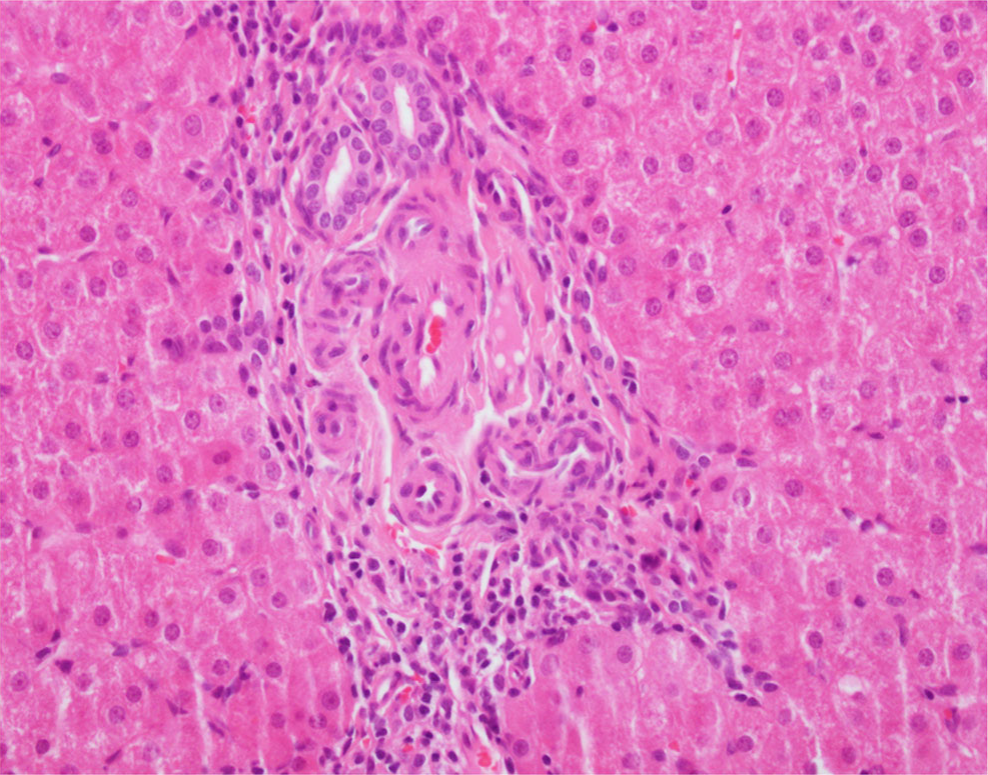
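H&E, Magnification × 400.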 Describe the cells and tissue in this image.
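The image shows a portal tract surrounded by plates of liver cells. The liver cells are large and polygonal, with pink, finely granular cytoplasm and round central nuclei, and they are arranged in plates around the tract. In the middle, a band of pale pink connective tissue holds many small dark elongated and round nuclei. Near the top of the tract lies a small duct lined by a single layer of cuboidal cells around an open lumen. Below it are several thick-walled vessels, with concentric layers of cells around small lumens, one of which holds red blood cells. No large thin-walled vein with a wide lumen is seen in the tract.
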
